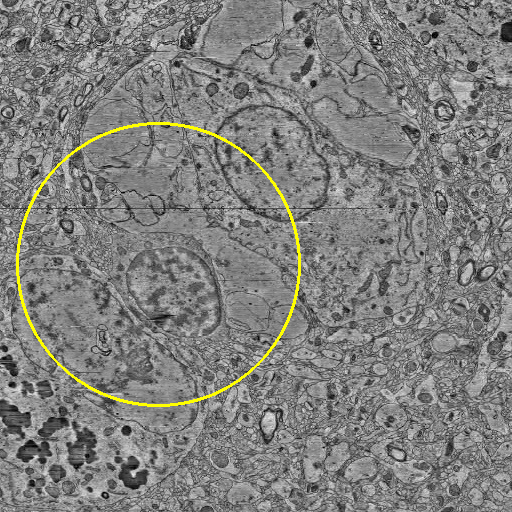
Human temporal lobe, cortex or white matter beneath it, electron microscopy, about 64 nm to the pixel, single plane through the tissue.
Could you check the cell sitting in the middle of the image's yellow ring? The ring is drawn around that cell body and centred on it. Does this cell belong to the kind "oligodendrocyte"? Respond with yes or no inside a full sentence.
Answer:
Yes, this cell in the middle of the yellow ring is one of that kind.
